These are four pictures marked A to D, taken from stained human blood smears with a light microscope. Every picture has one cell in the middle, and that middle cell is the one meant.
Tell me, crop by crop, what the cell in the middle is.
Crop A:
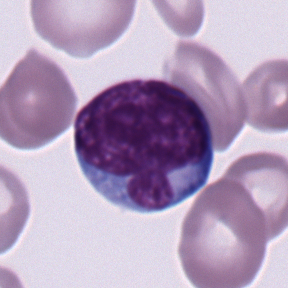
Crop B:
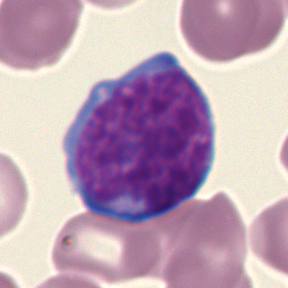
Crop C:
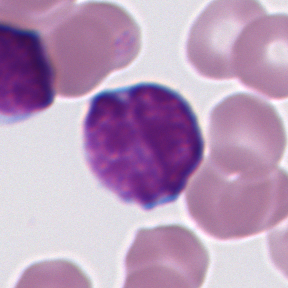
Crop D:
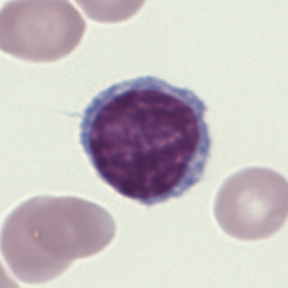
A: blast
B: blast
C: lymphocyte
D: lymphocyte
